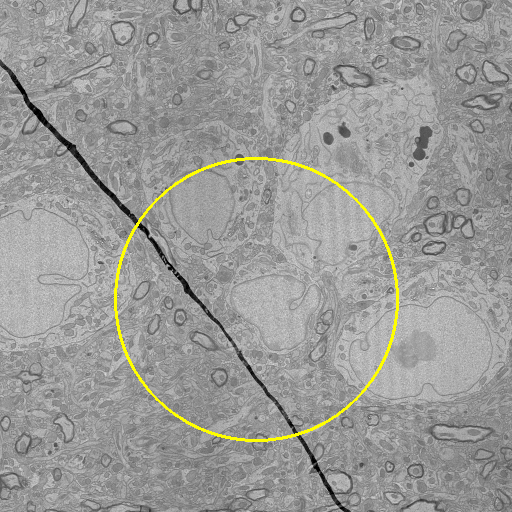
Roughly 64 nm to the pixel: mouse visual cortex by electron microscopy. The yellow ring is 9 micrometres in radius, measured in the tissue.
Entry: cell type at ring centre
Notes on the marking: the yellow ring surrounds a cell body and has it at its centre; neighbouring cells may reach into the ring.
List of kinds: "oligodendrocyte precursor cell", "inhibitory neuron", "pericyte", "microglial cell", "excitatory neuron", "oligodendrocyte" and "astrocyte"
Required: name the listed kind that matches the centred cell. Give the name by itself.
oligodendrocyte precursor cell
